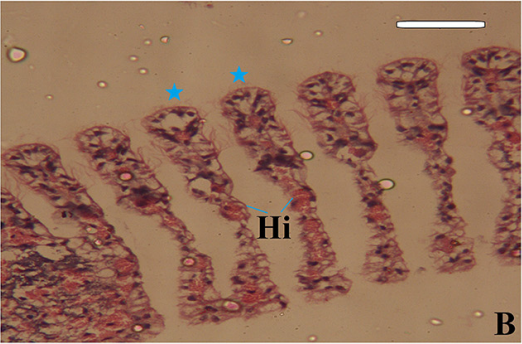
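This is a section of bivalve gill showing a row of gill filaments with club-shaped, rounded tips. The filaments are lined by an epithelium with dark purple nuclei, and the cilia at their tips are sparse and irregular rather than forming a dense fringe. Within the filament cores lie many rounded cells with reddish-pink cytoplasm, gathered in clusters, which are infiltrating blood cells. The interior of the filaments looks loose and vacuolated, and at the lower left the base of the gill is crowded with reddish cells.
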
